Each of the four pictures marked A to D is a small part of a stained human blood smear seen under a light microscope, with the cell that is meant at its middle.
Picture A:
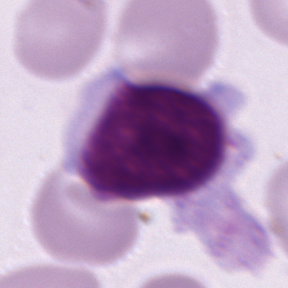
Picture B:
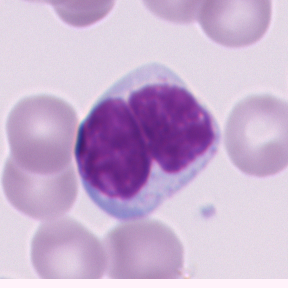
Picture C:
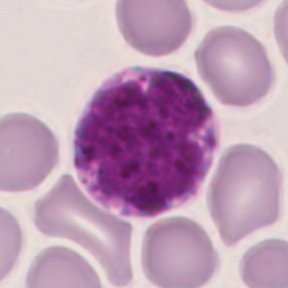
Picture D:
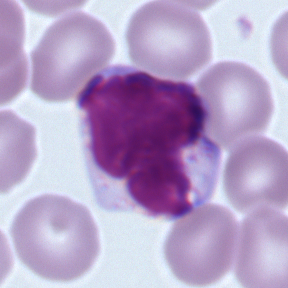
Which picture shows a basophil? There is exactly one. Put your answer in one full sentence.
The cell in picture C is the basophil.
